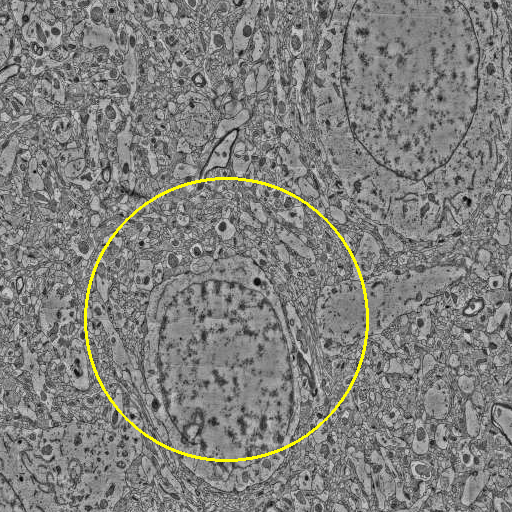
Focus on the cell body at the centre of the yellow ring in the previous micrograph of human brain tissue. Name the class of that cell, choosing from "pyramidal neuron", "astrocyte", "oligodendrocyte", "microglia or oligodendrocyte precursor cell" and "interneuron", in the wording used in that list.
interneuron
